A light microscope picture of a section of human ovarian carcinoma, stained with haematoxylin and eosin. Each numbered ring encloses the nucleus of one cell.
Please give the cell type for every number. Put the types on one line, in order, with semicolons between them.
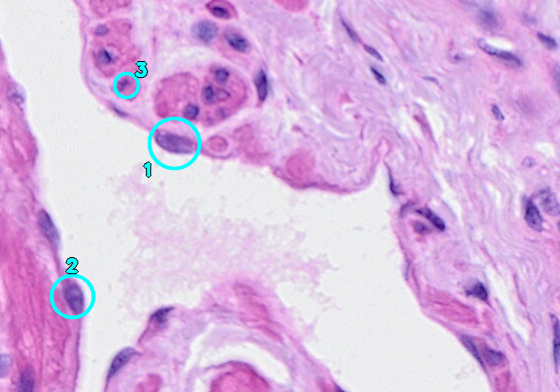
endothelial cell; endothelial cell; smooth muscle cell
